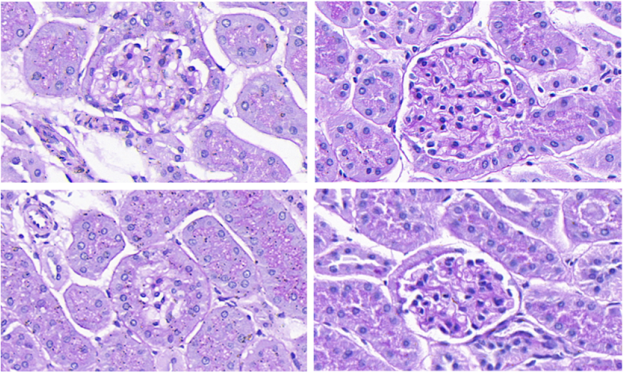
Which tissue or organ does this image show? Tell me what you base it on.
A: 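Round glomerular tufts of capillary loops are surrounded by tubule cross-sections. Tubules are lined by cuboidal epithelial cells with pink-purple cytoplasm and round blue nuclei. That points to this answer: renal tissues.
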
